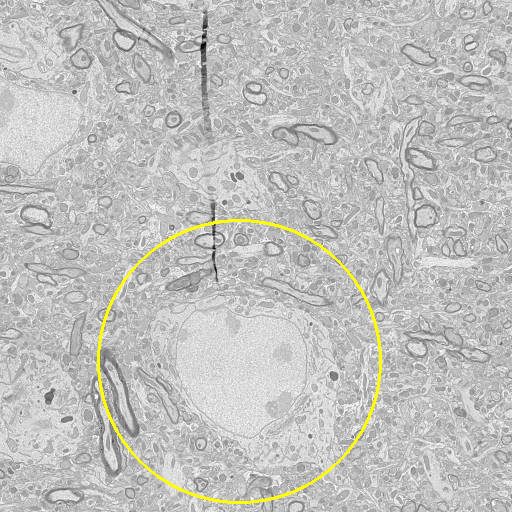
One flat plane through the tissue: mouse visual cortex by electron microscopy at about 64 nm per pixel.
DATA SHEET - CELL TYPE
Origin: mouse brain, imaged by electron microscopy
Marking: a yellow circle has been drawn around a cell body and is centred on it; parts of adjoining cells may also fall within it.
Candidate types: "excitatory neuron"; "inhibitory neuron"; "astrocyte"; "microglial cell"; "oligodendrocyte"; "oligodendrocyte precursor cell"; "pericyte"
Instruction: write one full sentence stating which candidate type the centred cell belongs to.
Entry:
The cell body at the centre of the yellow ring in this micrograph belongs to an excitatory neuron.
